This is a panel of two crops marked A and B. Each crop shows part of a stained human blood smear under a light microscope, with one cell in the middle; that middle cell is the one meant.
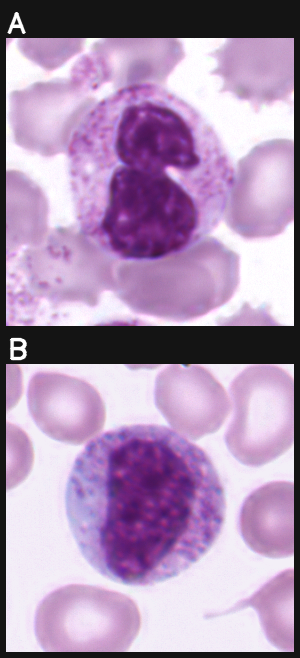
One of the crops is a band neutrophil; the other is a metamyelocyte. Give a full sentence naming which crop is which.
Okay, so crop A is a band neutrophil and crop B is a metamyelocyte.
